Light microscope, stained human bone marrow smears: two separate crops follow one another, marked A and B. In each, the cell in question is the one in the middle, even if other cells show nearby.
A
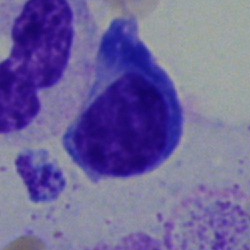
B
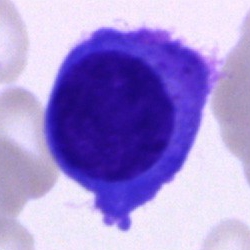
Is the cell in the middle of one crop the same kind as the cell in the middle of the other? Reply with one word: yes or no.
yes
